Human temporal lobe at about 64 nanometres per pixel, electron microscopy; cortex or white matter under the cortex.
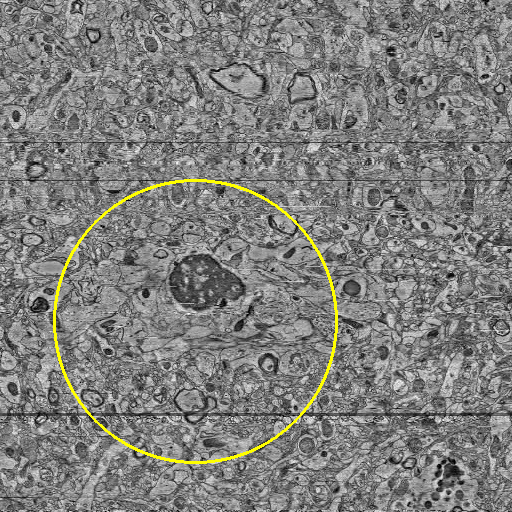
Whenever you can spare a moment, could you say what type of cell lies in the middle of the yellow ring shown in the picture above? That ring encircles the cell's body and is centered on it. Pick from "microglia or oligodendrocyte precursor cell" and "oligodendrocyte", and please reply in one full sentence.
The cell whose body sits at the middle of the yellow ring is a microglial cell or oligodendrocyte precursor cell.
